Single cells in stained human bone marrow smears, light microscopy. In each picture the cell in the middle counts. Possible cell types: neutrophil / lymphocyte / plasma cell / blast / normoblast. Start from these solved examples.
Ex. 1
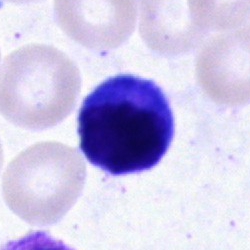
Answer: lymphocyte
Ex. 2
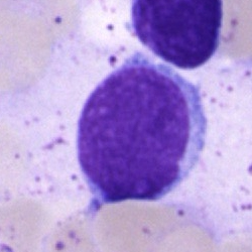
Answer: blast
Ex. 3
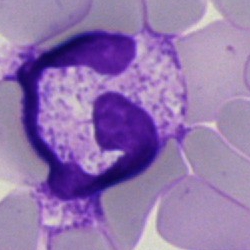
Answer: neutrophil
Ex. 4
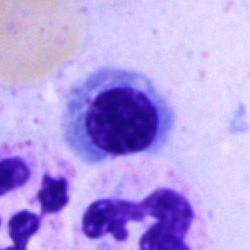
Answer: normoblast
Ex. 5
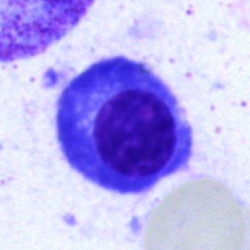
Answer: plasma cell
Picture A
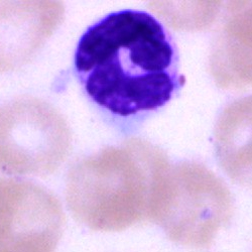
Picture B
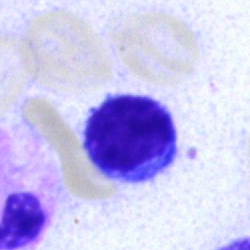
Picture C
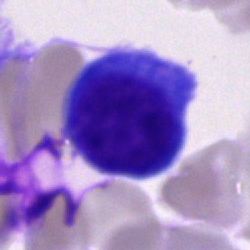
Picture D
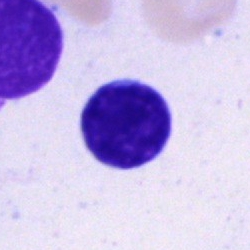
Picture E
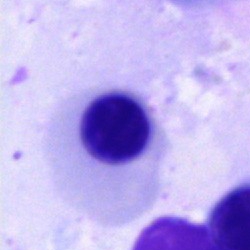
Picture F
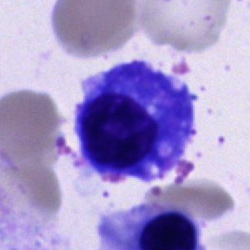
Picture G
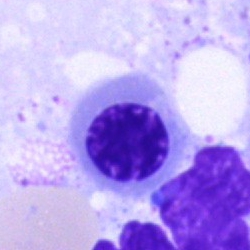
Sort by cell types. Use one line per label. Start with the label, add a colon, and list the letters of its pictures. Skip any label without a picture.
neutrophil: A
lymphocyte: B, D
plasma cell: C, F
normoblast: E, G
